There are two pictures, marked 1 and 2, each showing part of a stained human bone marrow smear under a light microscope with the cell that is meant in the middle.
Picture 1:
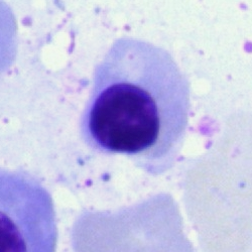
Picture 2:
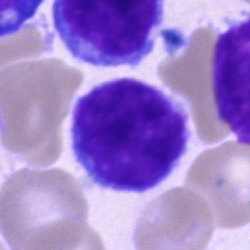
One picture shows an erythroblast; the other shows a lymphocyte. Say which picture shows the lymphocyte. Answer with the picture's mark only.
2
